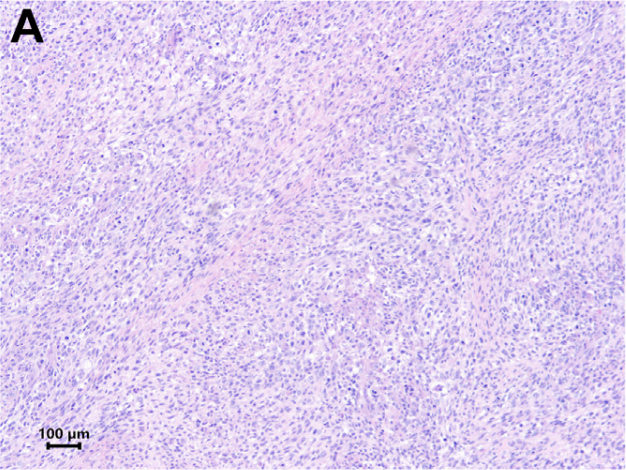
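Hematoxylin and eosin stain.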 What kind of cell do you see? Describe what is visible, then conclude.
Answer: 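Densely cellular tissue made of elongated cells with tapered, oval nuclei. Cells run in intersecting fascicles and streams. On this evidence: spindle cells.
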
